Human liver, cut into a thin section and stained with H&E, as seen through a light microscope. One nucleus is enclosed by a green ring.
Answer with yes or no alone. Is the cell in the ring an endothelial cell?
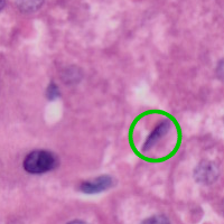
yes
